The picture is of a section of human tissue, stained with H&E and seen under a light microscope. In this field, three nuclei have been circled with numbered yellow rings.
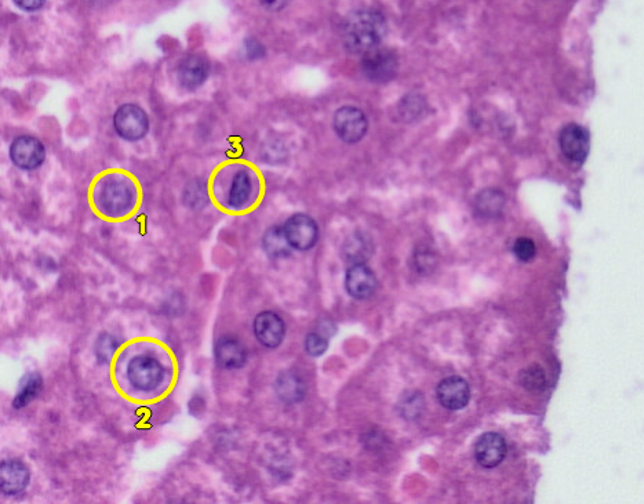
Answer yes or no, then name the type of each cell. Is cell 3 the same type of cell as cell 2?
No, cell 3 is a fibroblast or stellate cell, and in contrast cell 2 is a hepatocyte.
